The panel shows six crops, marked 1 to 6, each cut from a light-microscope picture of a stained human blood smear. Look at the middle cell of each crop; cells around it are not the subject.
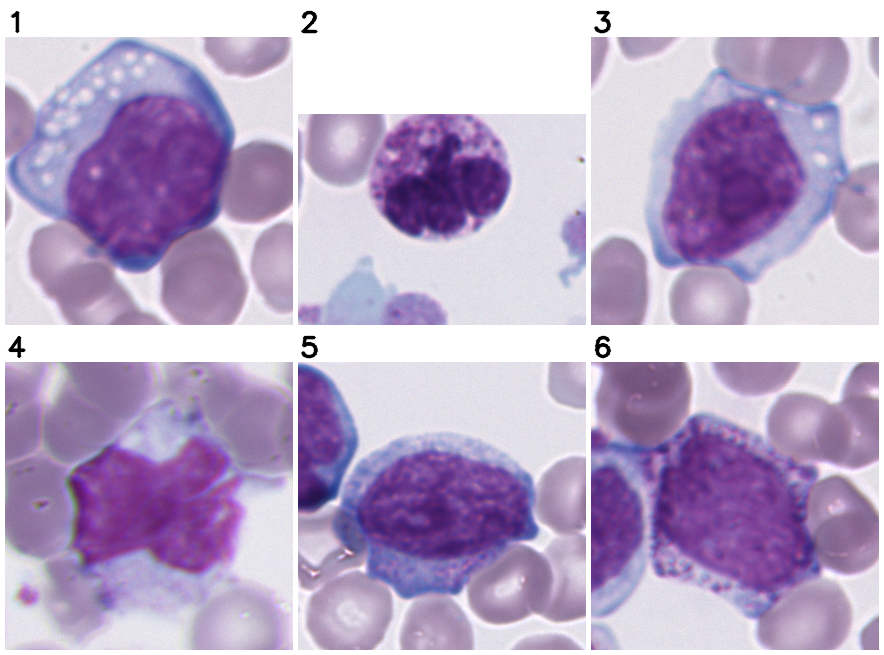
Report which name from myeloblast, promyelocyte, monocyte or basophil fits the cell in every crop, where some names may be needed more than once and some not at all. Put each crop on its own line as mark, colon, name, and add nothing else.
1: myeloblast
2: basophil
3: myeloblast
4: monocyte
5: promyelocyte
6: promyelocyte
